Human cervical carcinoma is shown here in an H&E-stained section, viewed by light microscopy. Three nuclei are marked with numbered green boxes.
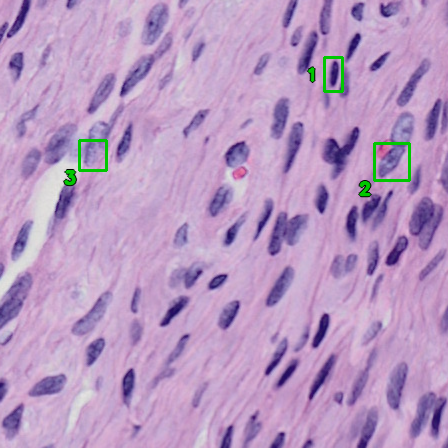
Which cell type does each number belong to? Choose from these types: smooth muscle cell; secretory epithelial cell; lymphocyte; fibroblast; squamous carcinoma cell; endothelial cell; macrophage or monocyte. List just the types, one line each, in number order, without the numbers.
fibroblast
endothelial cell
endothelial cell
